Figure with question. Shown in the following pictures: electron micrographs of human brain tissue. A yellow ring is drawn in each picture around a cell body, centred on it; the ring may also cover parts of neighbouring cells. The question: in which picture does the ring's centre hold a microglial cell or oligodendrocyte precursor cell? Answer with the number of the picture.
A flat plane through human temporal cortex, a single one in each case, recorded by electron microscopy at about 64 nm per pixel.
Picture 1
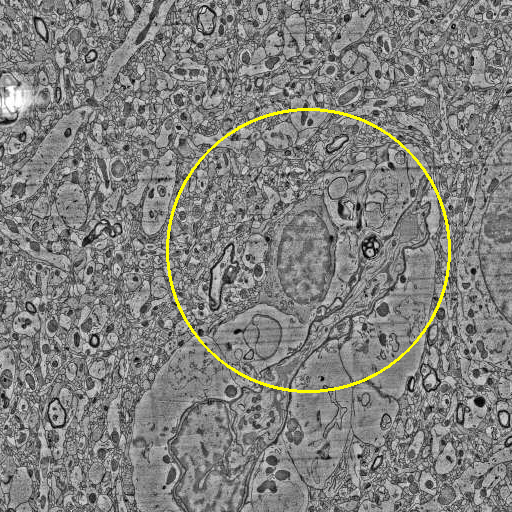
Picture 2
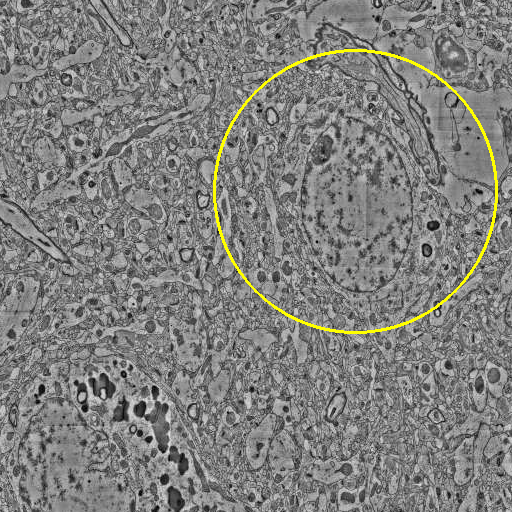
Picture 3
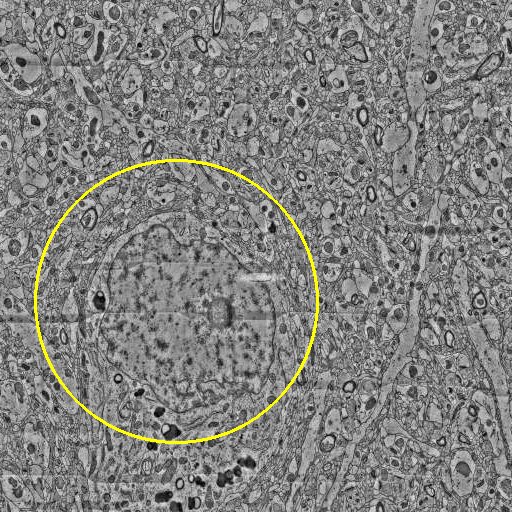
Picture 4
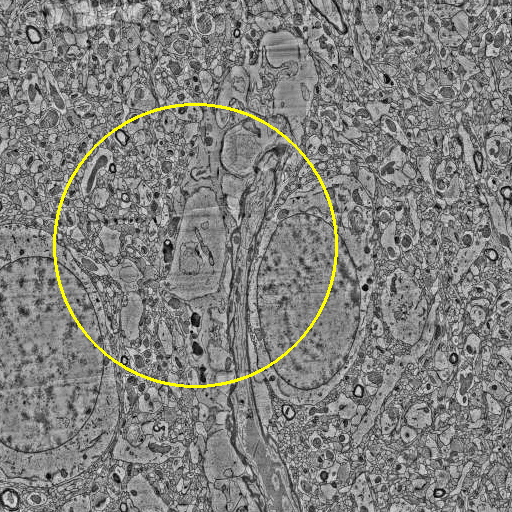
4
